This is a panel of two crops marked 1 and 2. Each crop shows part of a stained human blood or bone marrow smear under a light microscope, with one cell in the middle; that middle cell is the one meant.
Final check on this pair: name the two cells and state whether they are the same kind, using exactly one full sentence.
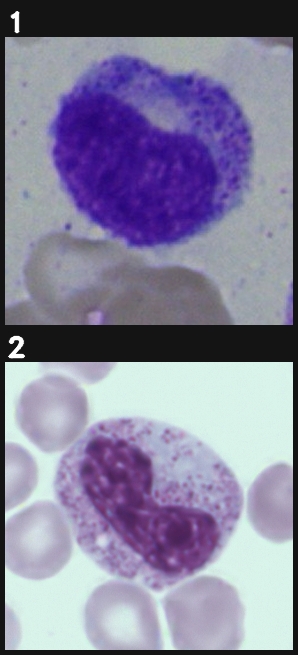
No, crop 1 features a metamyelocyte, and crop 2 features a band neutrophil.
